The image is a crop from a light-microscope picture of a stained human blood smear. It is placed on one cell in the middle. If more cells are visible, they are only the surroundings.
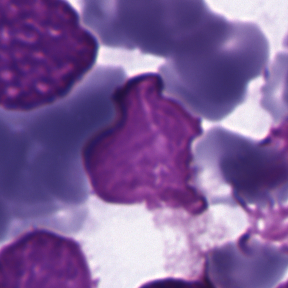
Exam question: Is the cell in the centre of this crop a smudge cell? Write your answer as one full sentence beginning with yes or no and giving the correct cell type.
Yes, this central cell is a smudge cell.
